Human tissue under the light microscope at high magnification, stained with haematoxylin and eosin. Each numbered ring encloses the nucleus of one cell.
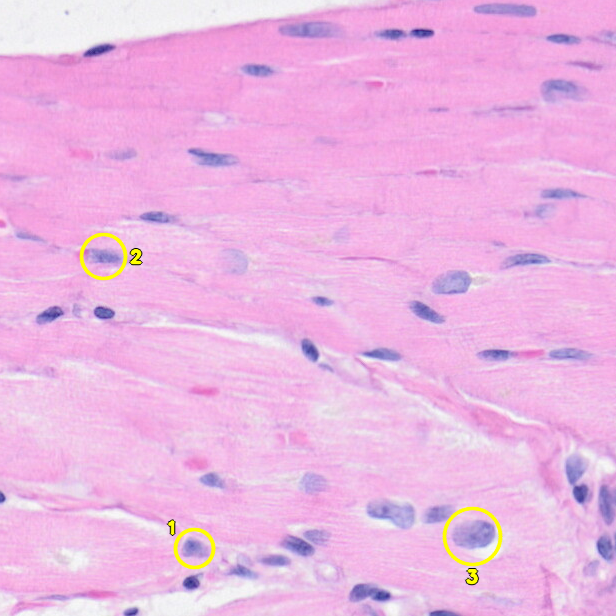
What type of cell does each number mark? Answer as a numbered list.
1. fibroblast
2. endothelial cell
3. cardiomyocyte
